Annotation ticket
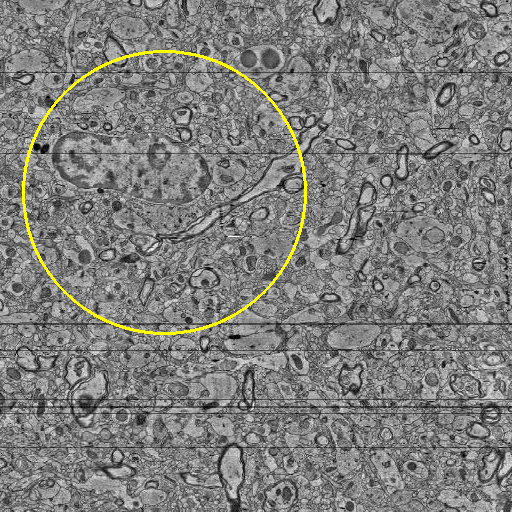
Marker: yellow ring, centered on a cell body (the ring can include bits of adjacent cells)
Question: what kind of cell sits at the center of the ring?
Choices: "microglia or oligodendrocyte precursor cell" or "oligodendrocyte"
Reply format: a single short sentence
The ring is centered on a microglial cell or oligodendrocyte precursor cell.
